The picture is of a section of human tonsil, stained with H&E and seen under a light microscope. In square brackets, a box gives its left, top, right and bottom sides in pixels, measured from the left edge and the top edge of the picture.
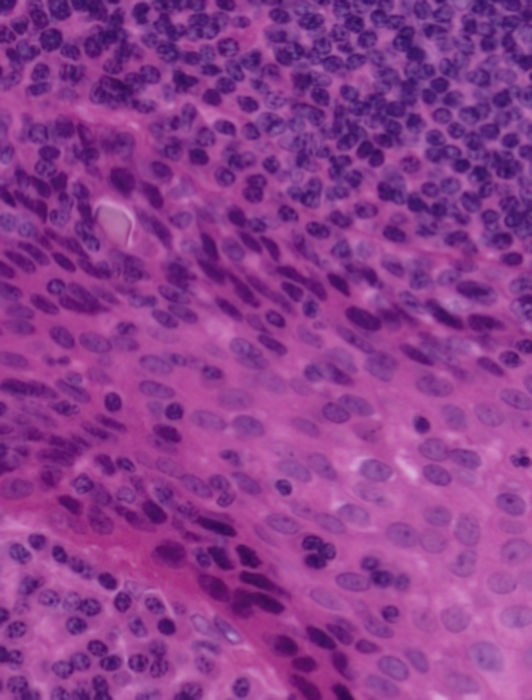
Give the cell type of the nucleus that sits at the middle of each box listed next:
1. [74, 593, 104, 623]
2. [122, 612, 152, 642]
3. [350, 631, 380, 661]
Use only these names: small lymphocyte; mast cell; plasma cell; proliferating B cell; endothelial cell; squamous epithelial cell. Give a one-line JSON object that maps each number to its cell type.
{"1": "plasma cell", "2": "plasma cell", "3": "squamous epithelial cell"}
